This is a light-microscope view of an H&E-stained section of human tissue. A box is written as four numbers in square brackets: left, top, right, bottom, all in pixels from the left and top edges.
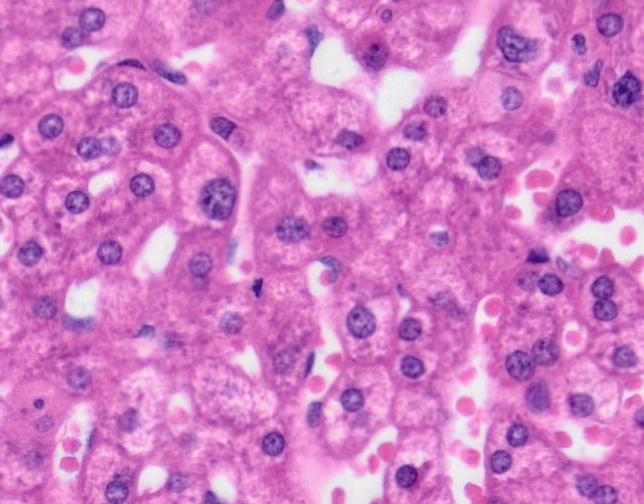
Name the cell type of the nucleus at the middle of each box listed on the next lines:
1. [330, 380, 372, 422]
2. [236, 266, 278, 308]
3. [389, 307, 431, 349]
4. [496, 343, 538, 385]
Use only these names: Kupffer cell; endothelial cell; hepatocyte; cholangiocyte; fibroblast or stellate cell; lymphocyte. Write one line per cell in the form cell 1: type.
cell 1: hepatocyte
cell 2: fibroblast or stellate cell
cell 3: hepatocyte
cell 4: hepatocyte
